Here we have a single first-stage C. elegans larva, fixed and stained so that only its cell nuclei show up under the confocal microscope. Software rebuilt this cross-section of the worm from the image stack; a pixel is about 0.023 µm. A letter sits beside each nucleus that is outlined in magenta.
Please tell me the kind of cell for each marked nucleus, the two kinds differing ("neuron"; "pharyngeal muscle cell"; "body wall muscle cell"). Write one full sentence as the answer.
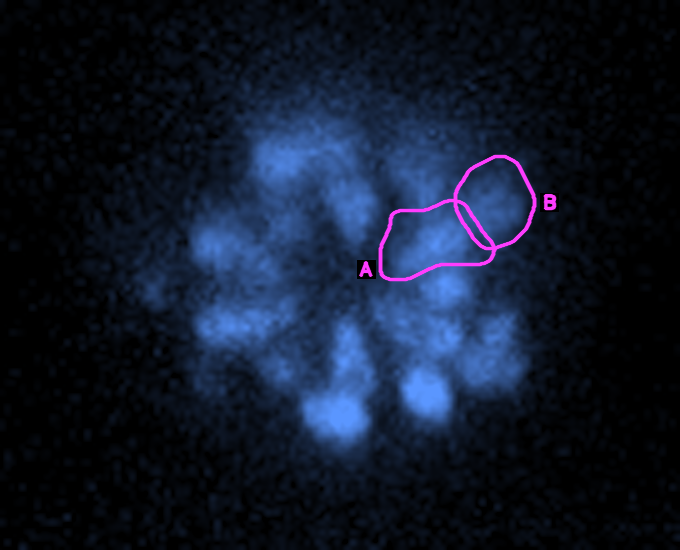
A belongs to a pharyngeal muscle cell and B to a body wall muscle cell.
